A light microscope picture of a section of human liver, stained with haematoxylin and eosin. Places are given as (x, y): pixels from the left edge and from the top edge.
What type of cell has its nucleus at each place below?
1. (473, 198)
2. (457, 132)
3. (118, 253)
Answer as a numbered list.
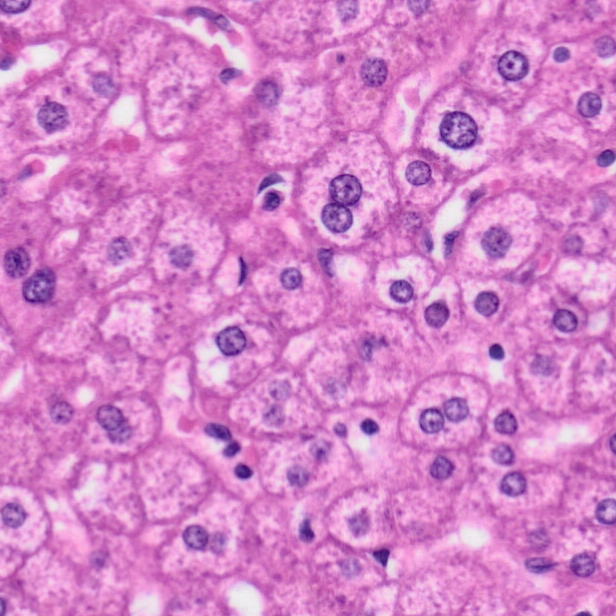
1. Kupffer cell
2. hepatocyte
3. hepatocyte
